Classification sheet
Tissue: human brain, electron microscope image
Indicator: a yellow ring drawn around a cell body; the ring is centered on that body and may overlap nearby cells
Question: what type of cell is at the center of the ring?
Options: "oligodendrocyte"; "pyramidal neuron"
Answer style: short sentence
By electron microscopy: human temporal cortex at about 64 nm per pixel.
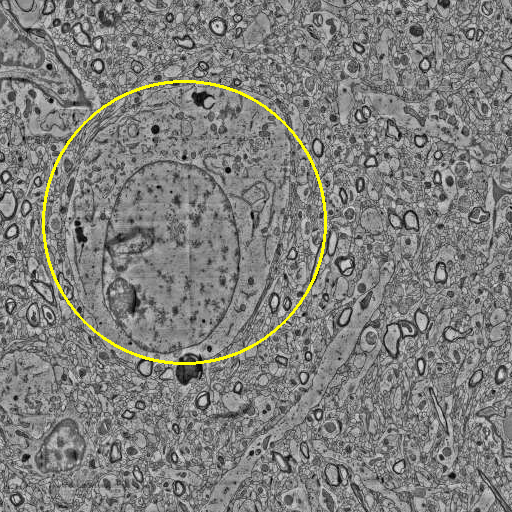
At the ring's center is a pyramidal neuron.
